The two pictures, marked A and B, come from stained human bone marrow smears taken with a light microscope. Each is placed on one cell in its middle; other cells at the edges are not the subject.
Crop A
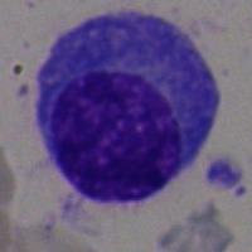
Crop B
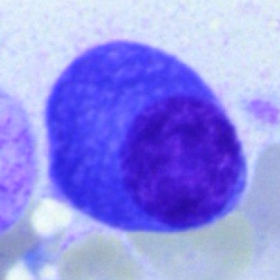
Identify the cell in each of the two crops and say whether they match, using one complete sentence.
Yes, both crops show plasma cells, and the two match.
